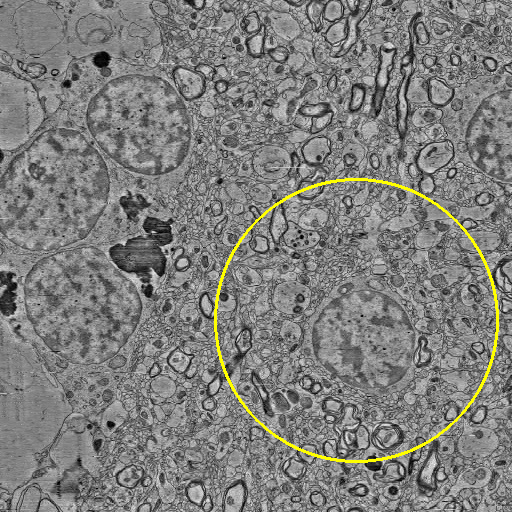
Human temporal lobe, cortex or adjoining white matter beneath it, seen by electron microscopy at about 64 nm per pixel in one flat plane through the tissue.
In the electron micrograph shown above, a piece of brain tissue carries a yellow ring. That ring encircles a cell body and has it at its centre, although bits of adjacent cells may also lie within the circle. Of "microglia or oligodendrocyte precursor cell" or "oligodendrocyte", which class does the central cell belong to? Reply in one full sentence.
The cell body at the centre of the yellow ring belongs to an oligodendrocyte.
